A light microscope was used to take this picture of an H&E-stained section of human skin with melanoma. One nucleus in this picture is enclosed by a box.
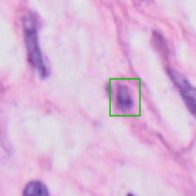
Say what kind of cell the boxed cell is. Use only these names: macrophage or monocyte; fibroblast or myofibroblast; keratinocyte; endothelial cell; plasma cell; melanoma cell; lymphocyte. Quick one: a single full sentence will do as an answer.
As far as its identity is concerned, the boxed cell is a macrophage or monocyte.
